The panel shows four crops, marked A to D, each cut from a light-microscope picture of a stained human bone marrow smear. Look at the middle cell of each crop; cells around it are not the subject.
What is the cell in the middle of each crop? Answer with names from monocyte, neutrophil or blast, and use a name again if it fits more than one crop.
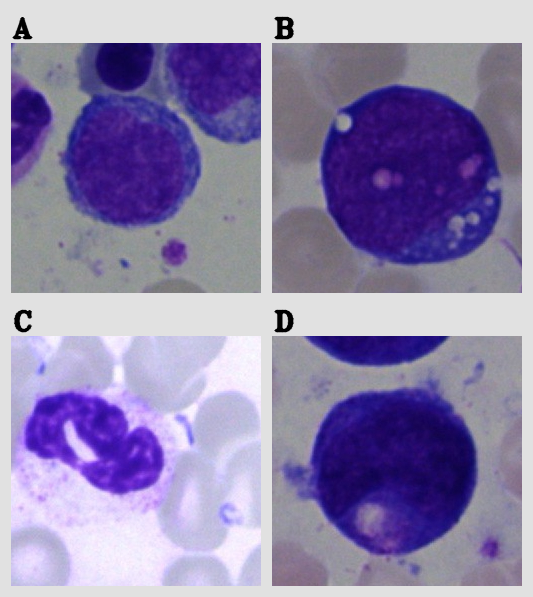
A: blast
B: blast
C: neutrophil
D: blast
